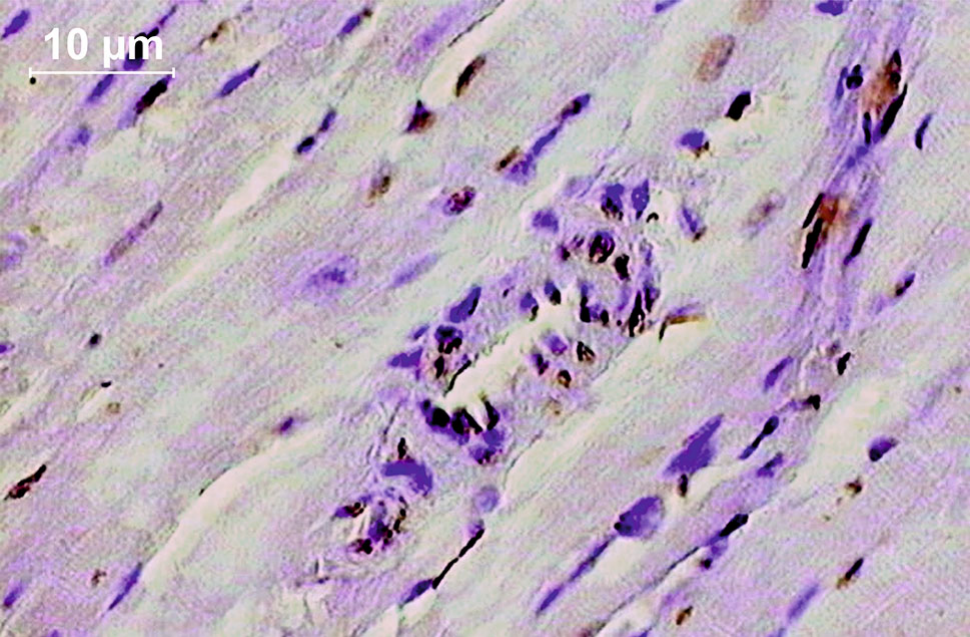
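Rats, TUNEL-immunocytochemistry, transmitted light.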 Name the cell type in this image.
Cardiomyocytes.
